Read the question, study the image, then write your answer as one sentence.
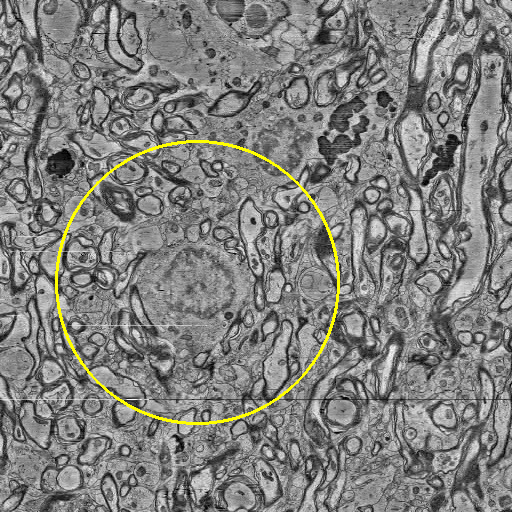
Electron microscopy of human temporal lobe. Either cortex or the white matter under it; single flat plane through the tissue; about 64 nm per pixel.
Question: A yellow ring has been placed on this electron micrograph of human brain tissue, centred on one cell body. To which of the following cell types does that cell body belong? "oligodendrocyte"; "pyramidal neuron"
That cell body belongs to an oligodendrocyte.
